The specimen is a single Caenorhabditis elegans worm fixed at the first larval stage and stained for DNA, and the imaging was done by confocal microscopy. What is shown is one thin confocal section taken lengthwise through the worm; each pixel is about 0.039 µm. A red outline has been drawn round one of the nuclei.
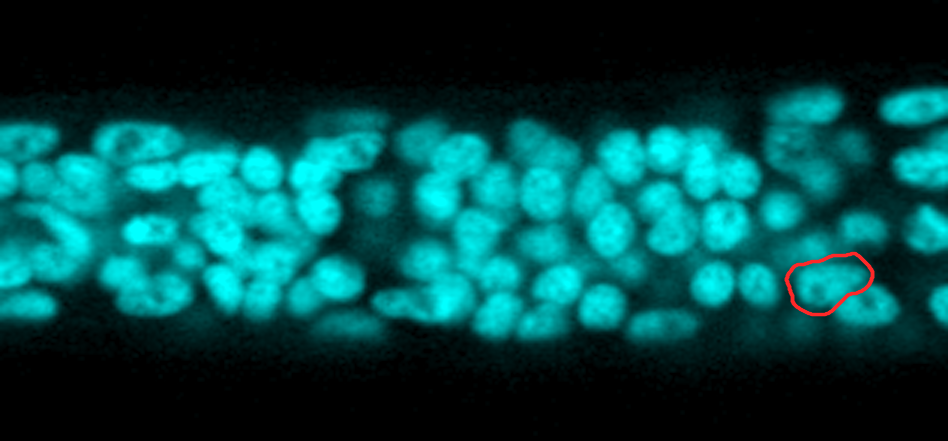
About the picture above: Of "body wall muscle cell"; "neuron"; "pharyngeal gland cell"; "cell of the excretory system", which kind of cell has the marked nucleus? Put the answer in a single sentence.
What is marked is the nucleus of a cell of the excretory system.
